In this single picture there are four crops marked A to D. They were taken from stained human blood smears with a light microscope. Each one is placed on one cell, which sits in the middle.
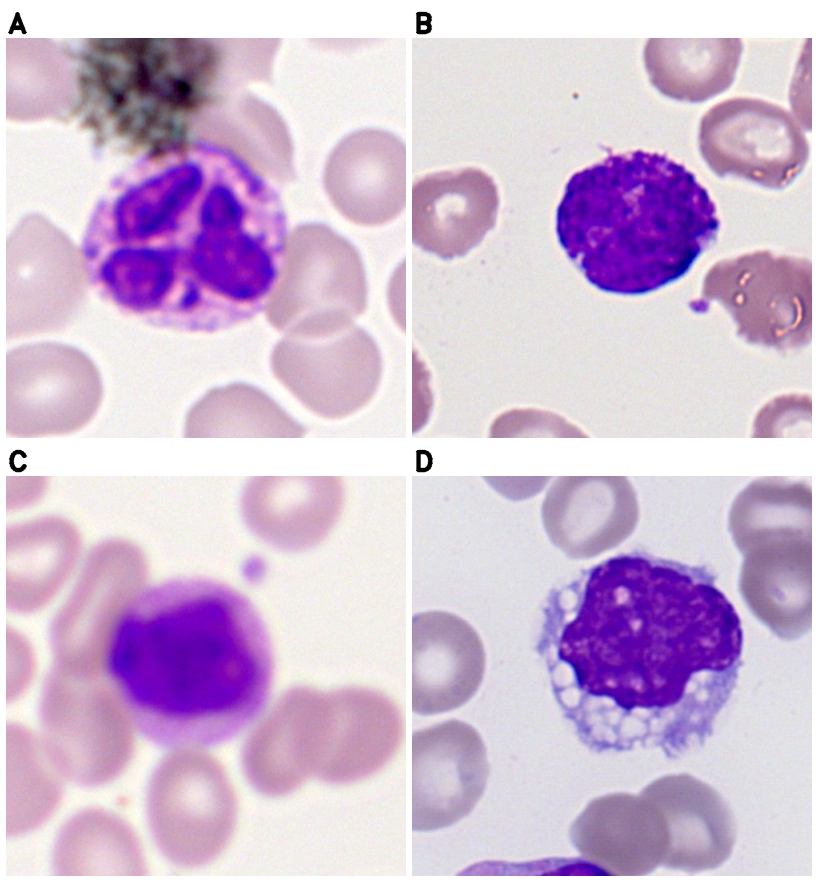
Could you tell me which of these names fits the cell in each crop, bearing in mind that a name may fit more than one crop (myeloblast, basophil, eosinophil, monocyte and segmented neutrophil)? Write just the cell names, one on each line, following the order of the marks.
basophil
basophil
basophil
monocyte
